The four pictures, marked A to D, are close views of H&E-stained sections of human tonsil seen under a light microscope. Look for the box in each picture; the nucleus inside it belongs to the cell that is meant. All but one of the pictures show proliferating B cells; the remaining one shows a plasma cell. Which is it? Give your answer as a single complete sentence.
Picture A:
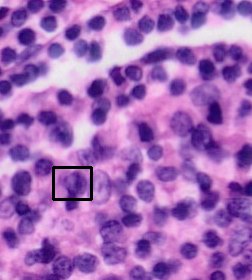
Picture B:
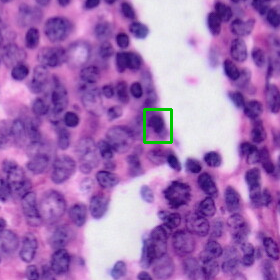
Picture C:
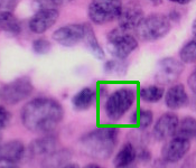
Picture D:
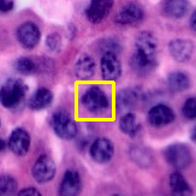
The picture with the plasma cell is D.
